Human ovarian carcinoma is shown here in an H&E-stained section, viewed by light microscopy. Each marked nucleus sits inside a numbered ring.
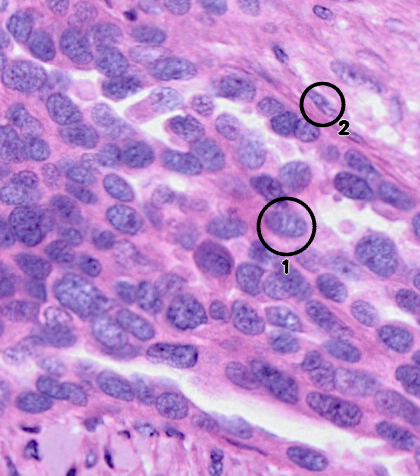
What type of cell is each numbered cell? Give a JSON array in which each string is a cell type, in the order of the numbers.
["carcinoma cell", "fibroblast"]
